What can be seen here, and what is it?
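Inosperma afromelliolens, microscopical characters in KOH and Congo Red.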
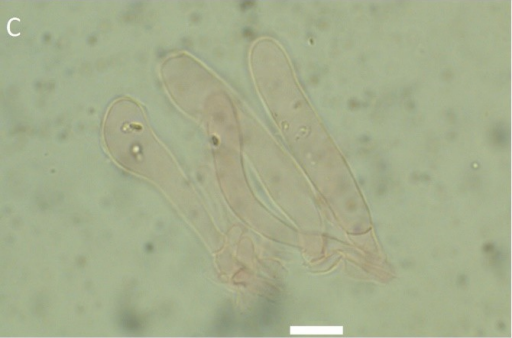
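Several thin-walled, club-shaped to cylindrical cells with broadly rounded tips rise together from a narrower common base. Their walls are smooth and pale, and the contents are largely clear with only a few small granules.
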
